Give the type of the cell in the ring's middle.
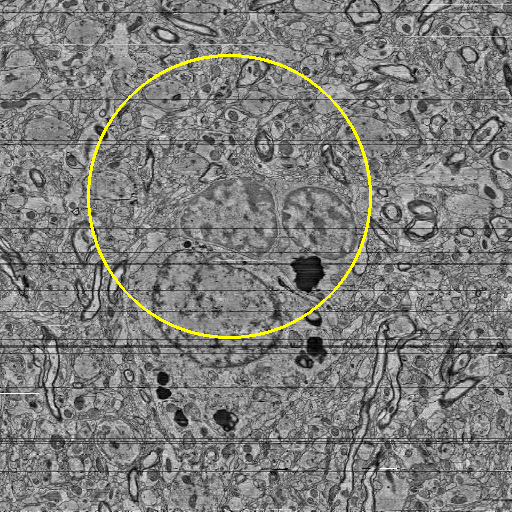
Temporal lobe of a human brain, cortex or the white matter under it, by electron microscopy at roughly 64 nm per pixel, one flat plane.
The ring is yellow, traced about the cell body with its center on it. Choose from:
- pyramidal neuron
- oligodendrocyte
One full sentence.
Here, an oligodendrocyte is the cell lying at the center of the yellow ring.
